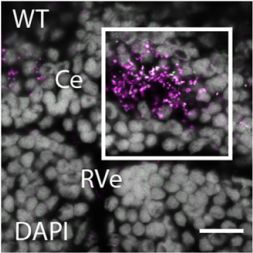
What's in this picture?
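This section shows densely packed cells with round grey nuclei and a patch of neuropil marked by a white box. The nuclei are crowded in sheets, with a dark vertical cleft running down the lower middle of the field. In the upper right, within the box, a region with fewer nuclei contains many small magenta and white puncta. Outside the box, puncta are scarce and the field is dominated by the nuclei.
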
